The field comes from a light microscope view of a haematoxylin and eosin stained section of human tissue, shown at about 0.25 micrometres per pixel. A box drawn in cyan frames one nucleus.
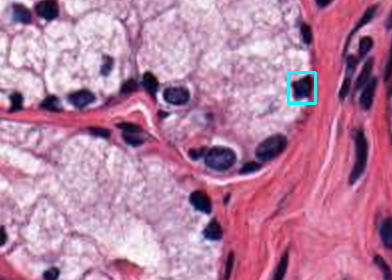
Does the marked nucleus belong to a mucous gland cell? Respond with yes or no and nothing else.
yes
